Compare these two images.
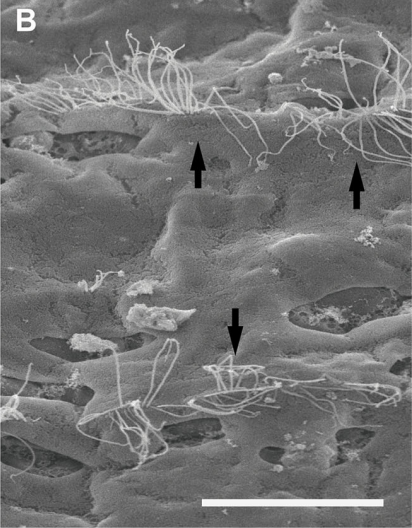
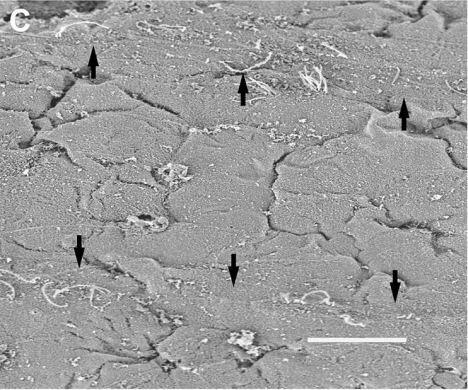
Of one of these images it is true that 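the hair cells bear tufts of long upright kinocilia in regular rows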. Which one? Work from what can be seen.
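The first image. Second image: the surface is largely bare, with only sparse short curled filaments. First image: rows of dense tufts of long filaments stand on the epithelium.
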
